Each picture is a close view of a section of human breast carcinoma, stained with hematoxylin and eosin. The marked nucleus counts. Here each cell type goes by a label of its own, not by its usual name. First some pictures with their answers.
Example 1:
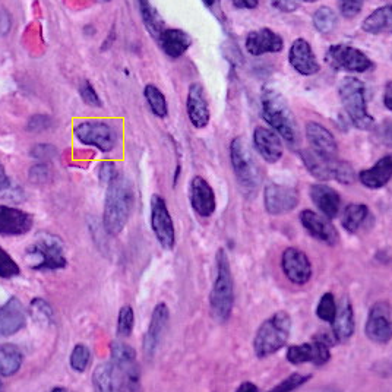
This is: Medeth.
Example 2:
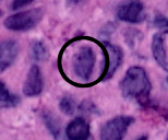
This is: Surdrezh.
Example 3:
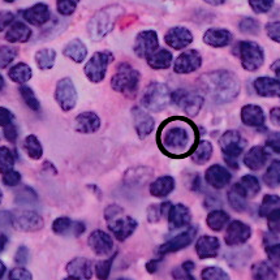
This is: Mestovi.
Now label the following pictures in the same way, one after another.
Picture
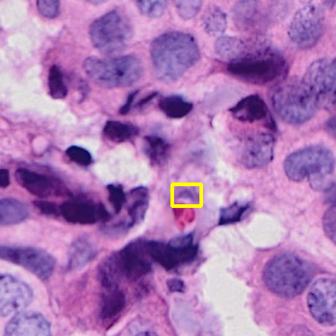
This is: Medeth.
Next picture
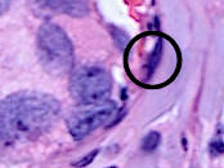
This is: Medeth.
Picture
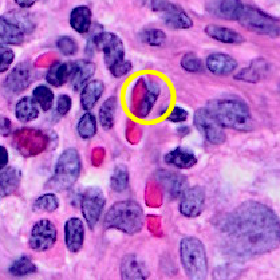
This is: Medeth.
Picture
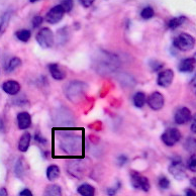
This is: Medeth.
